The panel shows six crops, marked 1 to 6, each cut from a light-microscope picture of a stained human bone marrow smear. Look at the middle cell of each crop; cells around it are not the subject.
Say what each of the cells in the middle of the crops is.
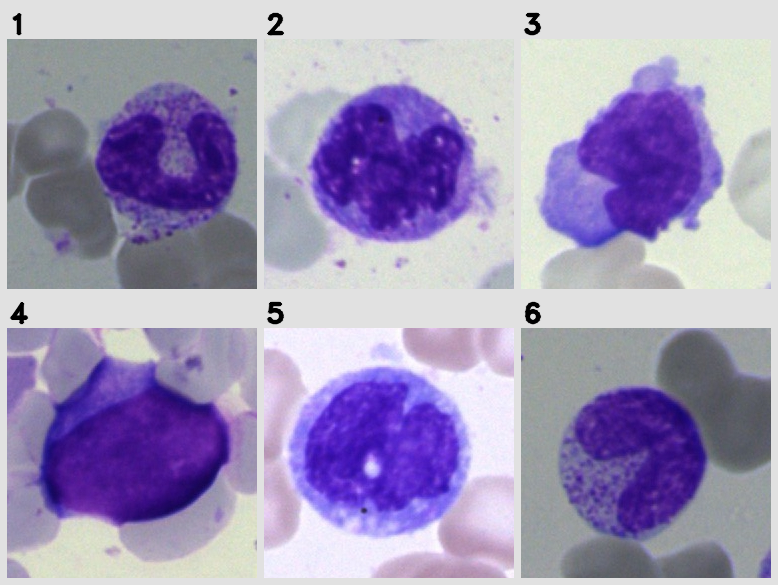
1: band neutrophil
2: monocyte
3: monocyte
4: blast
5: monocyte
6: band neutrophil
